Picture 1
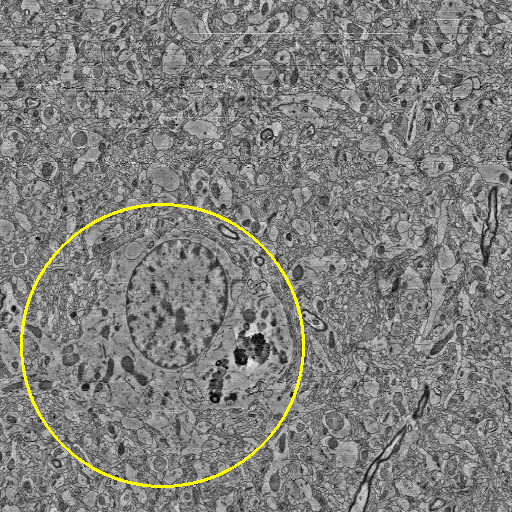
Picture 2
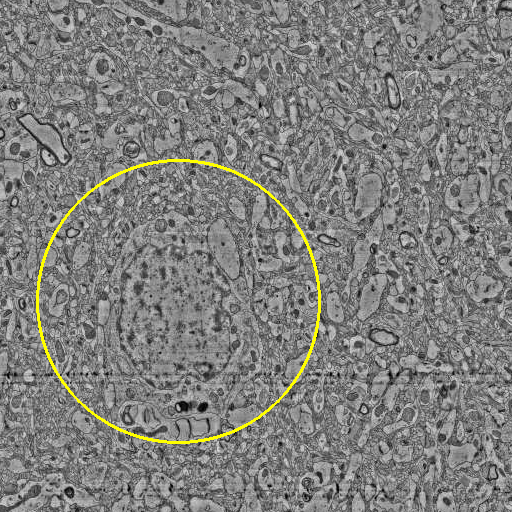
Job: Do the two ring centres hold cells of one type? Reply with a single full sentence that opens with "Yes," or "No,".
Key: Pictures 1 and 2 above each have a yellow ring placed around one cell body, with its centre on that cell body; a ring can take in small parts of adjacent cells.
No, the cells at the two ring centres are of two separate types.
